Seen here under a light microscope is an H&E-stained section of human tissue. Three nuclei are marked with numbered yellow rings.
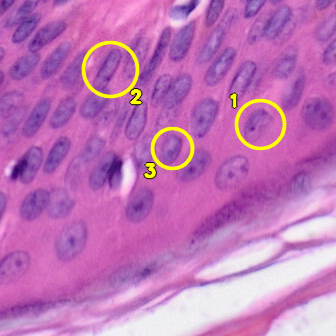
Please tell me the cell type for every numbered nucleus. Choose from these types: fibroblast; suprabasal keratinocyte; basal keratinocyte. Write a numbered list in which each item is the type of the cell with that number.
1. suprabasal keratinocyte
2. basal keratinocyte
3. suprabasal keratinocyte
